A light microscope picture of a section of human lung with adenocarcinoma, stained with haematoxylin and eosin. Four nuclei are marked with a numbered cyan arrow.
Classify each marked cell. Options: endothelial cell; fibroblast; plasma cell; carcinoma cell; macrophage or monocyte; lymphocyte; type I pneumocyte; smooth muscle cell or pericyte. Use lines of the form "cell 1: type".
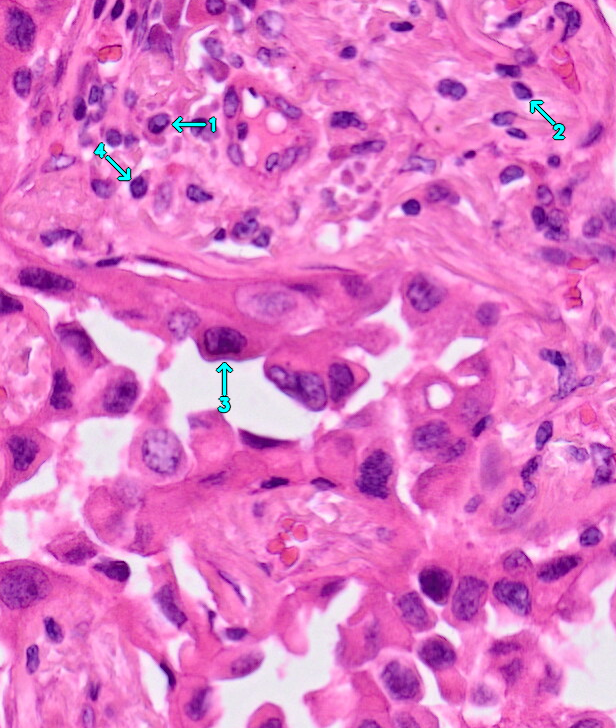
cell 1: plasma cell
cell 2: lymphocyte
cell 3: carcinoma cell
cell 4: lymphocyte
